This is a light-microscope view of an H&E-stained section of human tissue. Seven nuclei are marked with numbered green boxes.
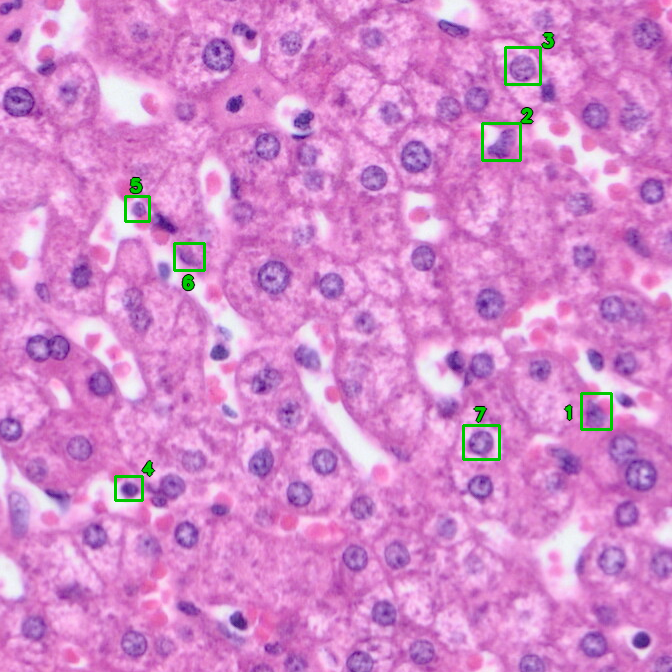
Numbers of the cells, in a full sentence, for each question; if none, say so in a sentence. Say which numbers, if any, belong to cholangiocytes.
Sorry, but none of the numbered cells are cholangiocytes.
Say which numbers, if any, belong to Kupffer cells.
Only the cell numbered 6 is a Kupffer cell; none of the others is.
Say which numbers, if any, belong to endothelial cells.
So, the cells with numbers 1 and 2 are endothelial cells.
